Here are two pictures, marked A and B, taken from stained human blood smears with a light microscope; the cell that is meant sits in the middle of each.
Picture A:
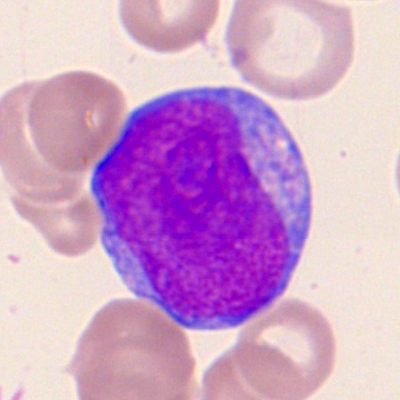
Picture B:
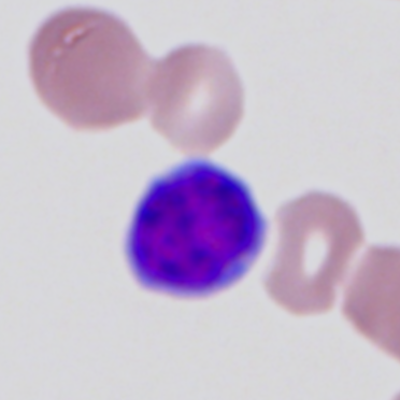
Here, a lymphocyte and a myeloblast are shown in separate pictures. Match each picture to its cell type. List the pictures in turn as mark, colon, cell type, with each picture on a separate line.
A: myeloblast
B: lymphocyte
